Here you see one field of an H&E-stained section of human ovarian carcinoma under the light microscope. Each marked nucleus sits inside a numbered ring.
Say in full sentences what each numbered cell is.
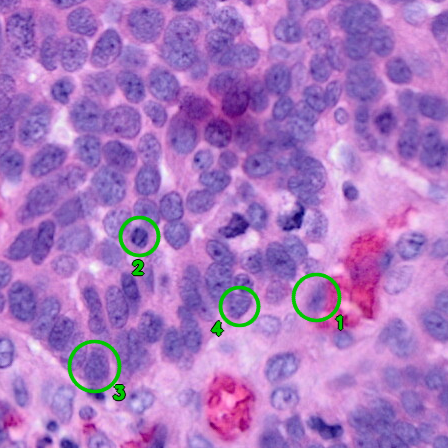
Cell 1 is an endothelial cell, cell 2 is a lymphocyte, cell 3 is a carcinoma cell and cell 4 is a carcinoma cell.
